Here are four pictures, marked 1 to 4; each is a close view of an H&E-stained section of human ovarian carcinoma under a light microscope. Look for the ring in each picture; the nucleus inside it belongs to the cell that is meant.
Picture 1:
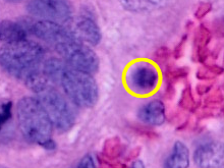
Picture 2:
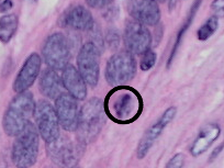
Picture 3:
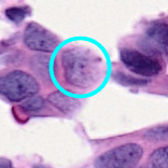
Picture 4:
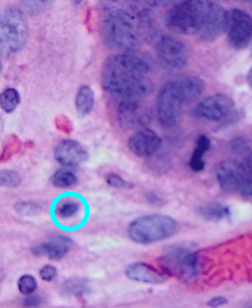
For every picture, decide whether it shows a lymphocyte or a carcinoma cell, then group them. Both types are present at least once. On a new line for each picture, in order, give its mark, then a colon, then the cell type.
1: lymphocyte
2: lymphocyte
3: carcinoma cell
4: lymphocyte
